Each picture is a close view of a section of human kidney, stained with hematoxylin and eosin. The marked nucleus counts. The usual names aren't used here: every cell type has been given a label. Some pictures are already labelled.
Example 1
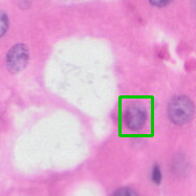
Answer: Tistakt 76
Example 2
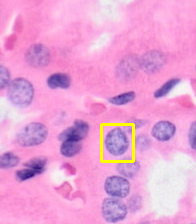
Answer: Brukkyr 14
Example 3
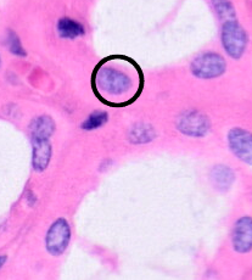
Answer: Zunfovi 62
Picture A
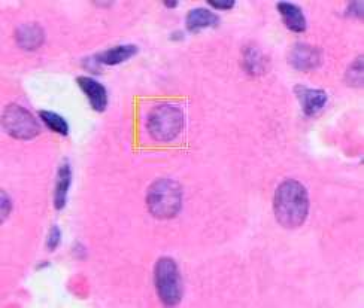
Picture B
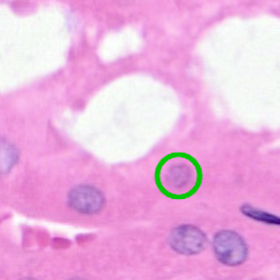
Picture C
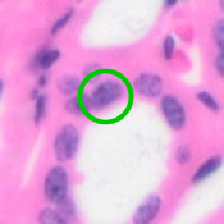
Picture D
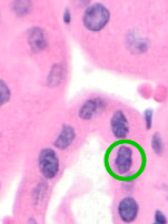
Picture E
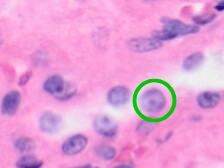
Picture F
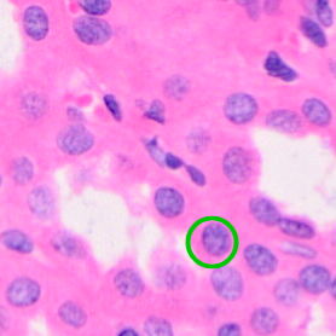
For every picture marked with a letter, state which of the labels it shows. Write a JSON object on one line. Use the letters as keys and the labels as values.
{"A": "Tistakt 76", "B": "Tistakt 76", "C": "Brukkyr 14", "D": "Brukkyr 14", "E": "Zunfovi 62", "F": "Zunfovi 62"}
